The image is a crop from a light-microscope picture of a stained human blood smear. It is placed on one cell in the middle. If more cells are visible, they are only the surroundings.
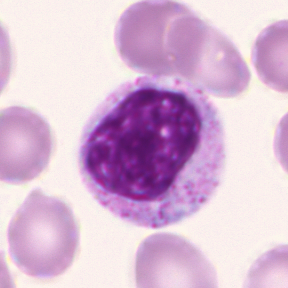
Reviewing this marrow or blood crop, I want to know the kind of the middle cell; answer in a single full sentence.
The middle position in this crop is taken by a metamyelocyte.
